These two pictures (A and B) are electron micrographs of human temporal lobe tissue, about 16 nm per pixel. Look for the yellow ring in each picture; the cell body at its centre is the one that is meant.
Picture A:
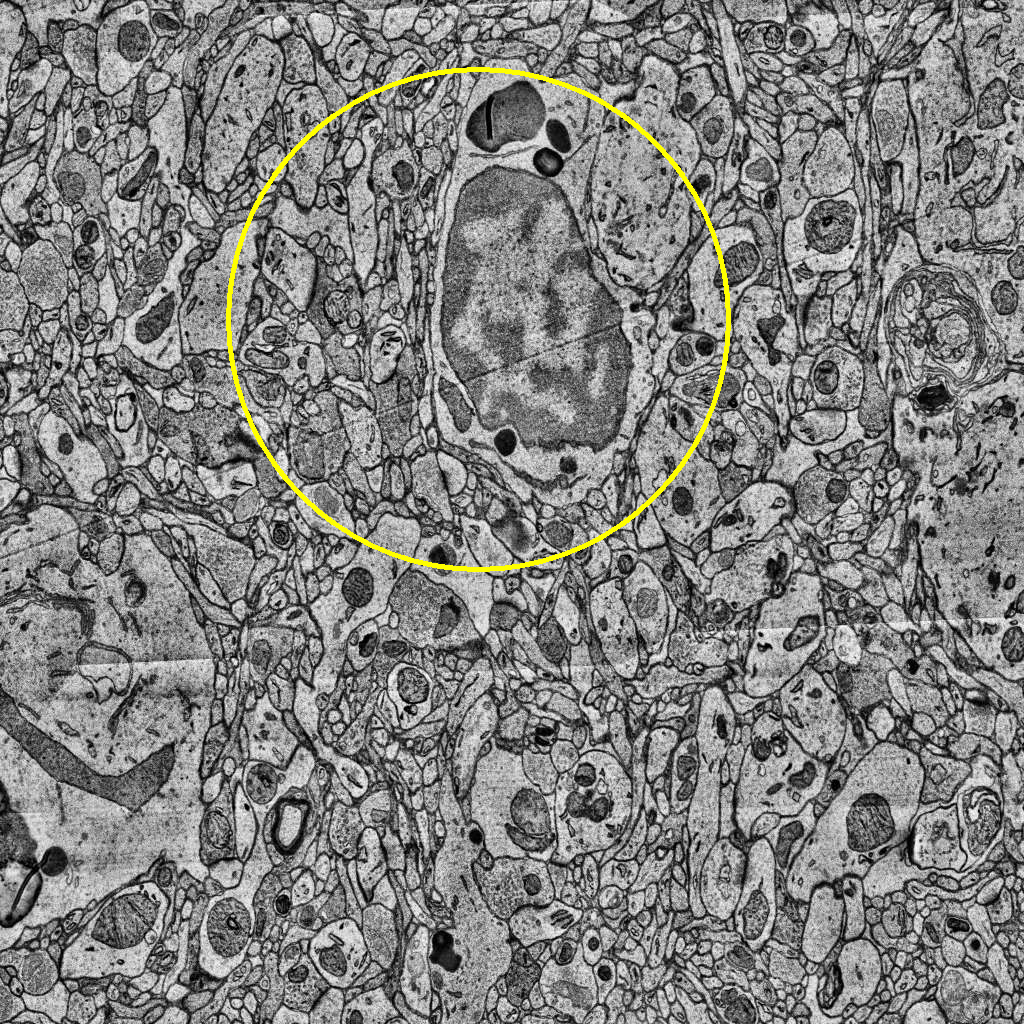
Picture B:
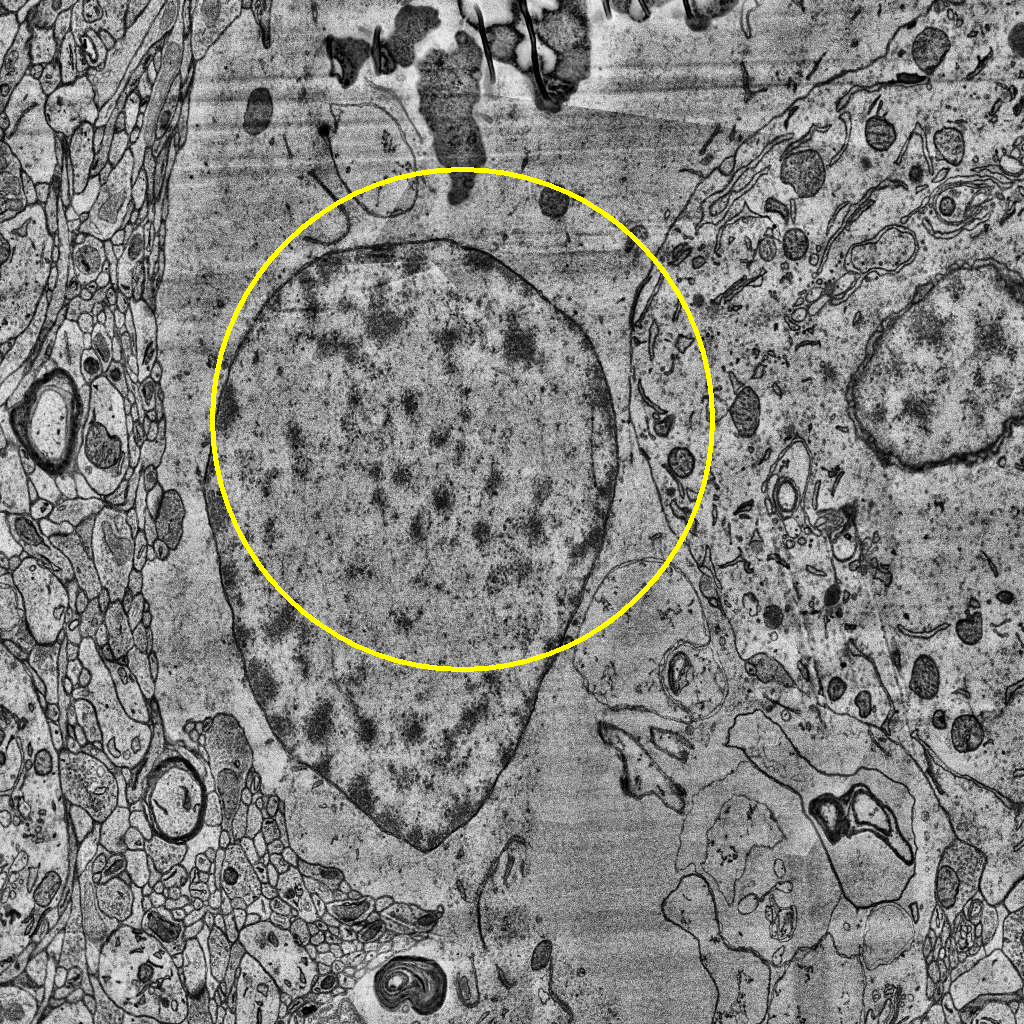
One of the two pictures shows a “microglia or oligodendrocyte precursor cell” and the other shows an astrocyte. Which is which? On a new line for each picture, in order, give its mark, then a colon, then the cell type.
A: microglia or oligodendrocyte precursor cell
B: astrocyte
